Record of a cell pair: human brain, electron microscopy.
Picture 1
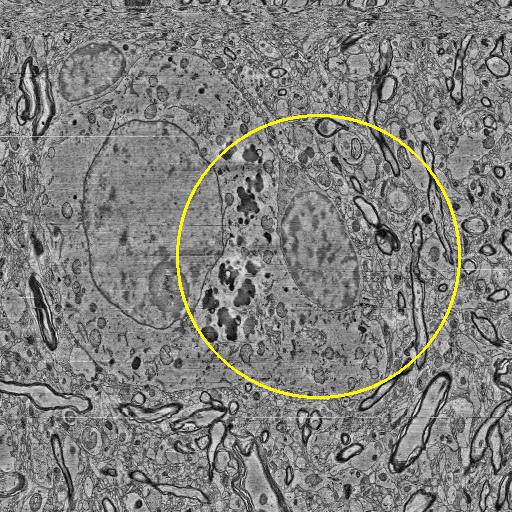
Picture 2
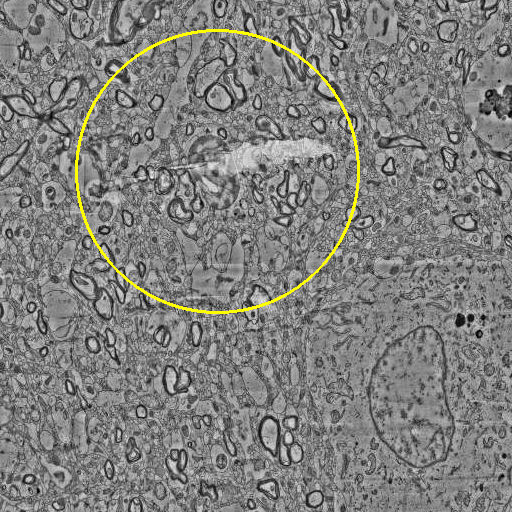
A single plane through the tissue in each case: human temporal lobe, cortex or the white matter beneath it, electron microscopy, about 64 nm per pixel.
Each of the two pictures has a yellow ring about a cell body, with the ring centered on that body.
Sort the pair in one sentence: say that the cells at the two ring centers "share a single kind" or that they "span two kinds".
The cells centered in the rings of Pictures 1 and 2 span two kinds.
